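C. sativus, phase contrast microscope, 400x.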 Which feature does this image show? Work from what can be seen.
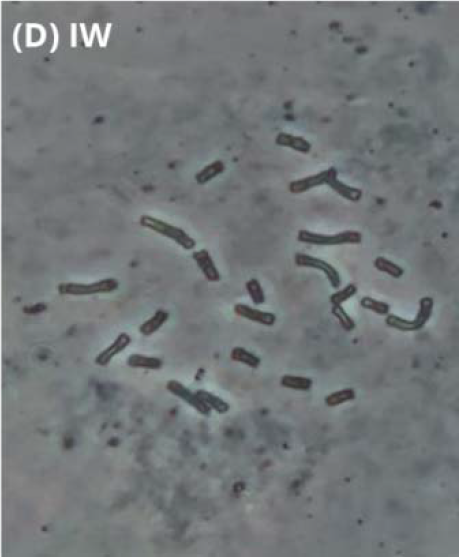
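No intact nucleus with an envelope is seen around the rods. The rods are compact and distinct from one another, as in condensed chromosomes. That points to this answer: mitotic chromosome spreads.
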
